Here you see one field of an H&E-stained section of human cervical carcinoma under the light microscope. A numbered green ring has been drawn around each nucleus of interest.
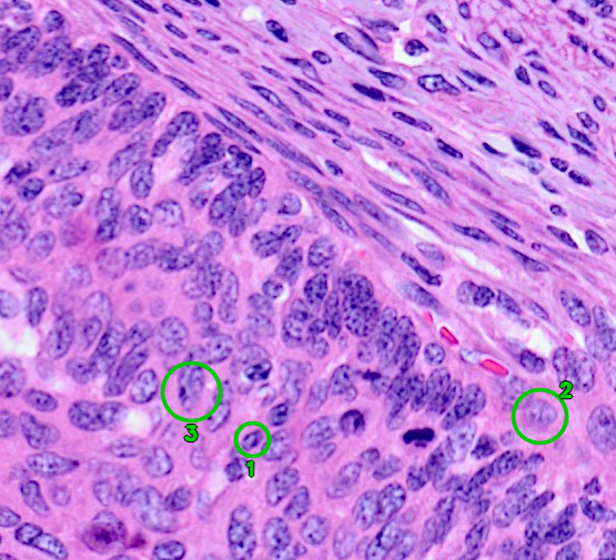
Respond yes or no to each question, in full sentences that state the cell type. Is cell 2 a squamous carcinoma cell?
No, number 2 identifies an endothelial cell, not a squamous carcinoma cell.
